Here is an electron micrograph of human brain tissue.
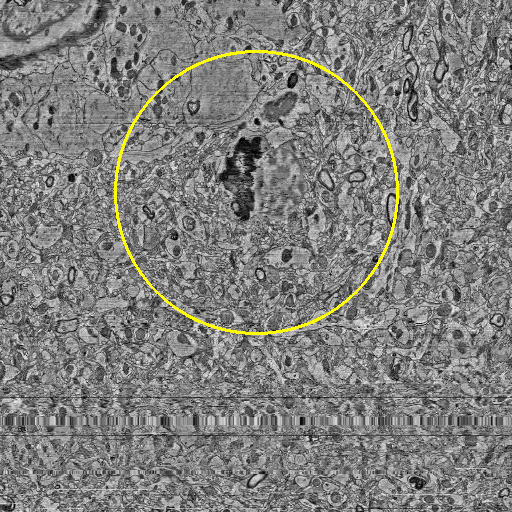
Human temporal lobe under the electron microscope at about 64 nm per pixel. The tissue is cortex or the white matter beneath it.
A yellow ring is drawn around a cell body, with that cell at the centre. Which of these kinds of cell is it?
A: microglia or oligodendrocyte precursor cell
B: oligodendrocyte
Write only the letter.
B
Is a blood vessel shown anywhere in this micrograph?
Yes.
